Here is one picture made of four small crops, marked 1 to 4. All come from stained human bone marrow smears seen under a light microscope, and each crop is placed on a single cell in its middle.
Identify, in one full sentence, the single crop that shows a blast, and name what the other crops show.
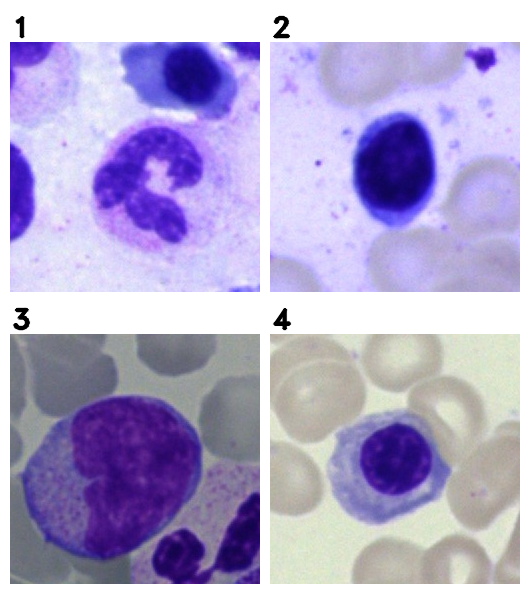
In crop 3, the cell at the centre is a blast, while crop 1 is a segmented neutrophil, crop 2 is a lymphocyte and crop 4 is an erythroblast.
